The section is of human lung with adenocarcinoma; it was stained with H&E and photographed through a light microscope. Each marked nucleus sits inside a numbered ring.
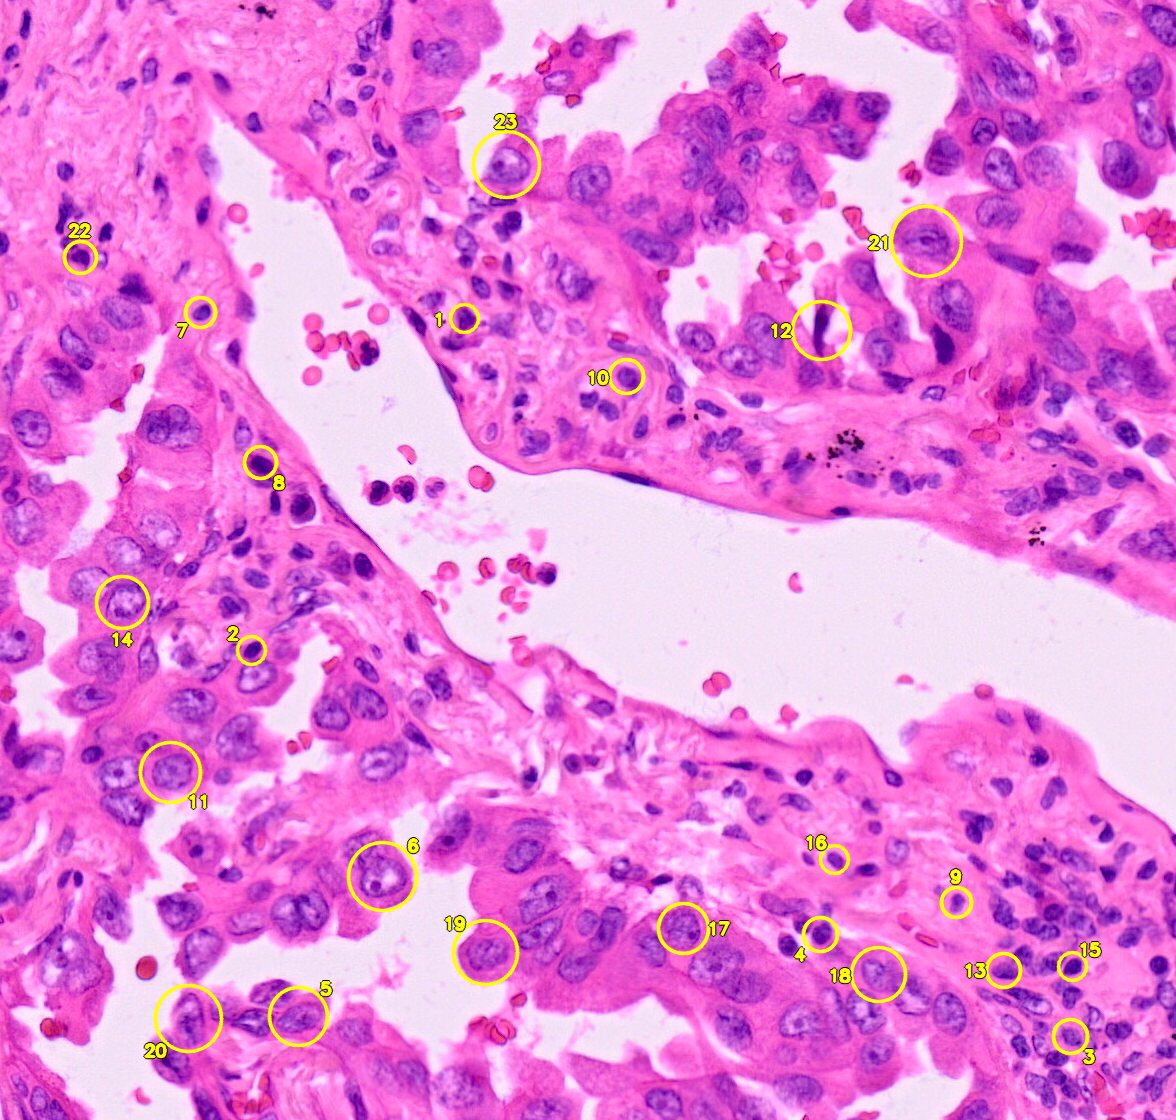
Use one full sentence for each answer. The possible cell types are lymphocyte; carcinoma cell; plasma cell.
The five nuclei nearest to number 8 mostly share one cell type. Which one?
Most of the five nuclei nearest to number 8 are those of lymphocytes.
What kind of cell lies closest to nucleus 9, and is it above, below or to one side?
Just above and to the left of nucleus 9 lies the nearest nucleus, which belongs to a lymphocyte.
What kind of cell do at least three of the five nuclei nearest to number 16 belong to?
Around number 16, most of the five nearest nuclei are those of lymphocytes.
